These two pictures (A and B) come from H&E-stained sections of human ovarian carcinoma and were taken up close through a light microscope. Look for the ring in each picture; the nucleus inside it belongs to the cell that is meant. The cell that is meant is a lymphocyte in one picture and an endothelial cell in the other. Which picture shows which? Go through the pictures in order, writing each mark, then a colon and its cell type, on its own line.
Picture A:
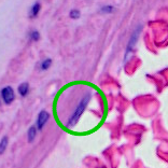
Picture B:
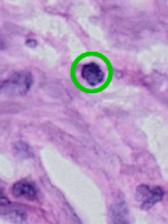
A: endothelial cell
B: lymphocyte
